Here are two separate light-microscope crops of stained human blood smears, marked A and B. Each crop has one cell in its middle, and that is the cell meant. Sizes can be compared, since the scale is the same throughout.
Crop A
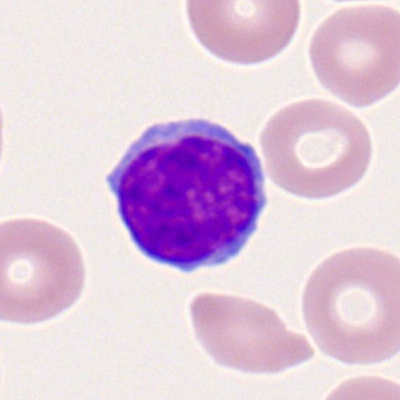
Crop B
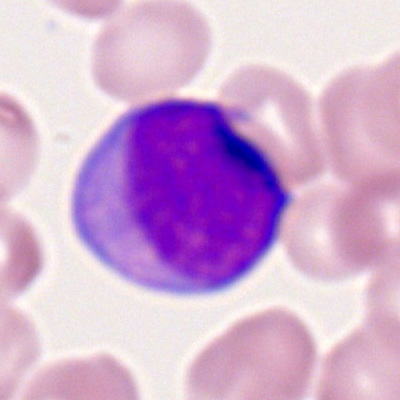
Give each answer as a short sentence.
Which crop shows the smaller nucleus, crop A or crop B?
The nucleus in crop A is smaller; the one in crop B has about 1.5 times its area.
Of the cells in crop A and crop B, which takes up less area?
It is the cell in crop A; the cell in crop B has about 2 times its area.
